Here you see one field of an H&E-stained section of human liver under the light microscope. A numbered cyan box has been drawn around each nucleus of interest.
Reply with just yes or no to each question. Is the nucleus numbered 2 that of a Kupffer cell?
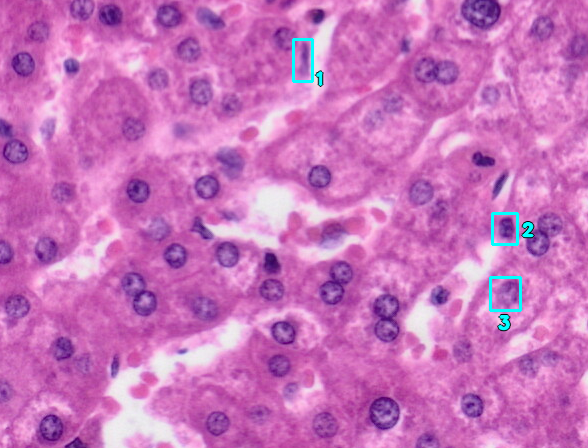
no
